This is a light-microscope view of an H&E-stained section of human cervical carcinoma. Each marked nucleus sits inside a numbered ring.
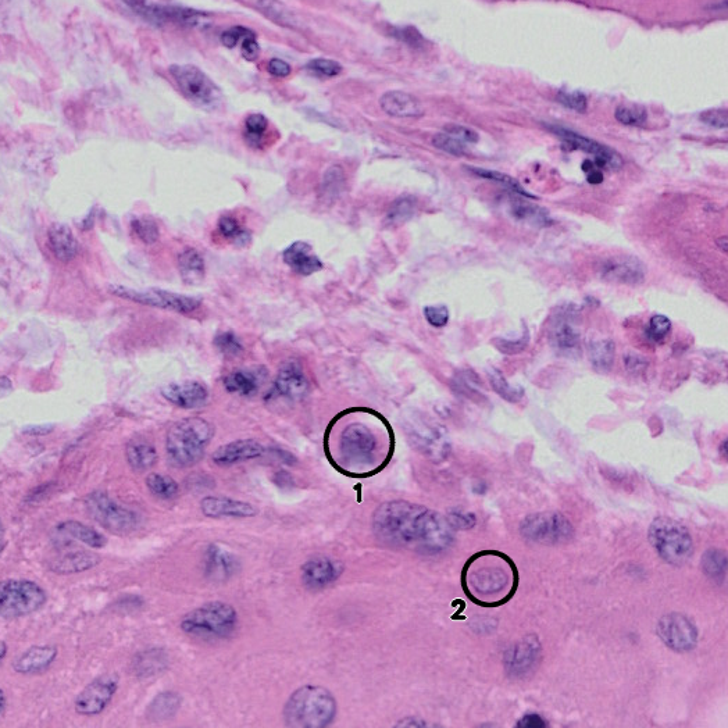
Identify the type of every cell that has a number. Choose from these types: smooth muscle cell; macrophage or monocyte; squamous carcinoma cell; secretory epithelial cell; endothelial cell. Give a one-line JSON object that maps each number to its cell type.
{"1": "macrophage or monocyte", "2": "squamous carcinoma cell"}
